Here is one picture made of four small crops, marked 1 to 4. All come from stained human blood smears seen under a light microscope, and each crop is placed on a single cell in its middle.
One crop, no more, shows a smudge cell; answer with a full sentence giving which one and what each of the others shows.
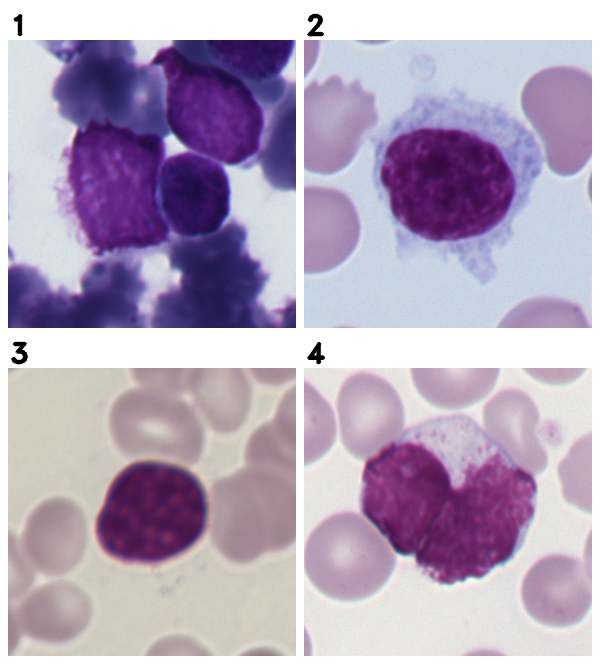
The middle of crop 3 holds a smudge cell, while crop 1 is a myeloblast, crop 2 is a hairy cell and crop 4 is a large granular lymphocyte.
